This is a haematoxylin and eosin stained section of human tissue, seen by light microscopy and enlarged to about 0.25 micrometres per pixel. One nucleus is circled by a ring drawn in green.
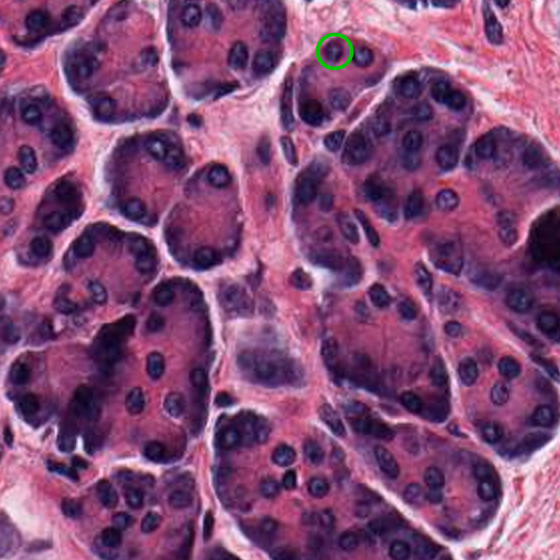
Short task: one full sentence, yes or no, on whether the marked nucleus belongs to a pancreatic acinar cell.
Yes, the marked nucleus is a part of a pancreatic acinar cell.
